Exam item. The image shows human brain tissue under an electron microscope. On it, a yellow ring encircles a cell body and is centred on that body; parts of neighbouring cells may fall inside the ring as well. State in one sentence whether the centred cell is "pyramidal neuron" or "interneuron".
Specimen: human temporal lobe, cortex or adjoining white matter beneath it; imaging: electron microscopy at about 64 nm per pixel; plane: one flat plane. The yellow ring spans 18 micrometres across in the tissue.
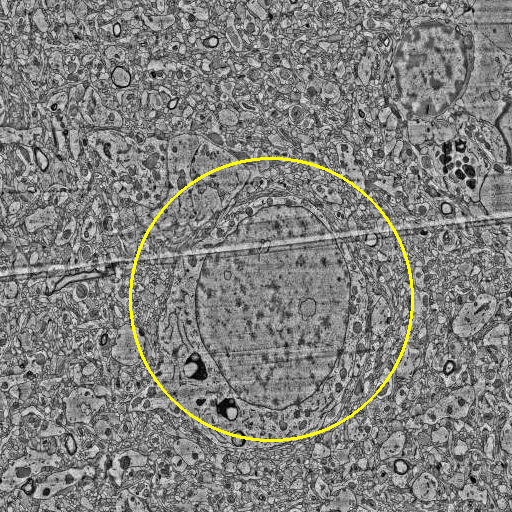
The cell body centred in the ring is a pyramidal neuron.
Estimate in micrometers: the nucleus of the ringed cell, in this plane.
Approximately 13 x 10 micrometres in this plane.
